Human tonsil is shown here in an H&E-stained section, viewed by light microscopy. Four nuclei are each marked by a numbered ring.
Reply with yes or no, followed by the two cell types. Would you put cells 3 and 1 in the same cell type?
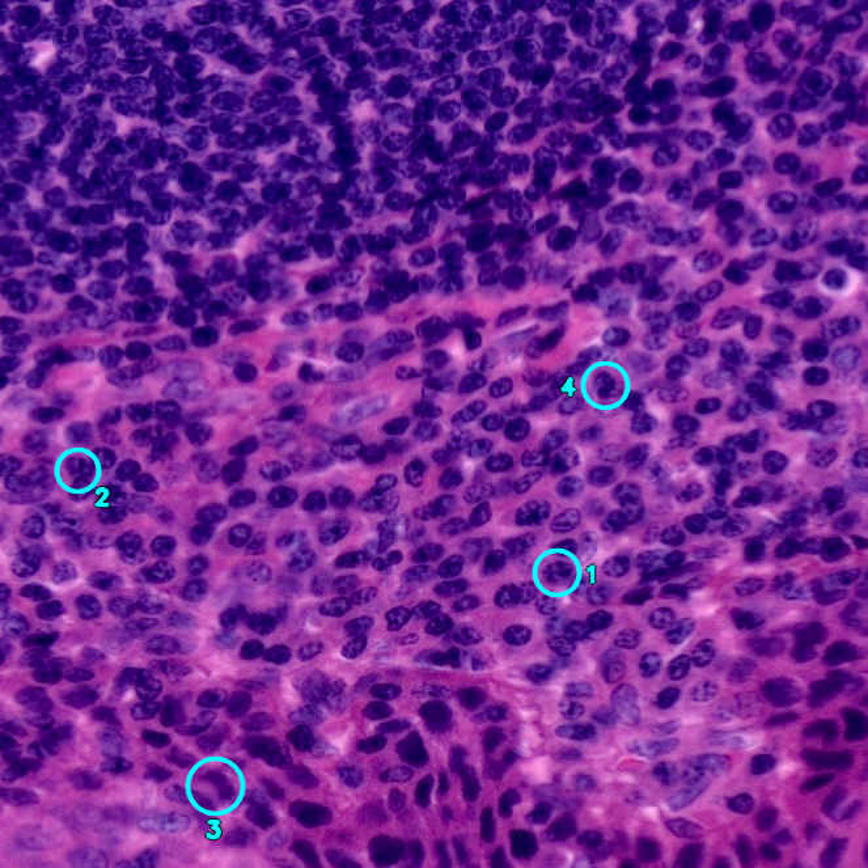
No, in this section cell 3 is a squamous epithelial cell and cell 1 is a plasma cell.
